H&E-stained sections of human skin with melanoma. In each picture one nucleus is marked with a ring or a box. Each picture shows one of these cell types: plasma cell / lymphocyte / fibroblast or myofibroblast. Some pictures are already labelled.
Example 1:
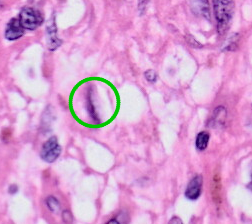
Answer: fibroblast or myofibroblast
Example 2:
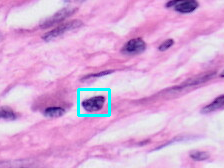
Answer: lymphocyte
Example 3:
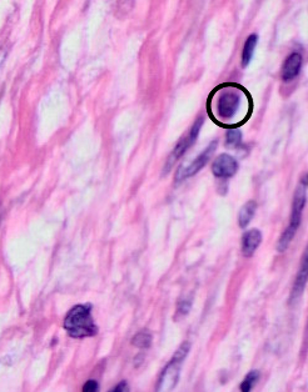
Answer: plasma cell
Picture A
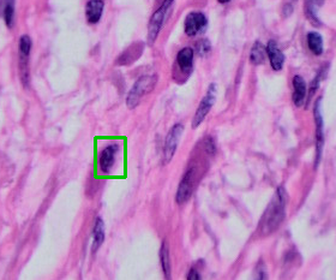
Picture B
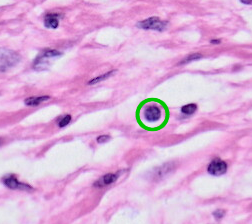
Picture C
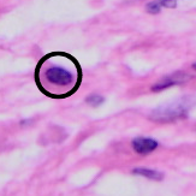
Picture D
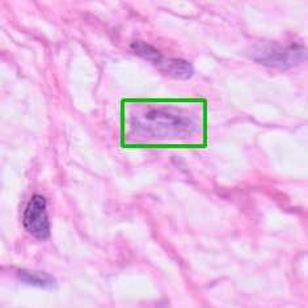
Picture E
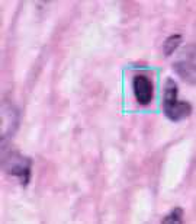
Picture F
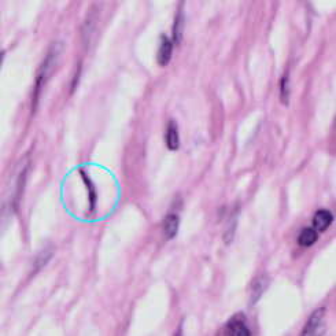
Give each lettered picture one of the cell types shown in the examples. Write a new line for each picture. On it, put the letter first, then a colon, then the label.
A: plasma cell
B: lymphocyte
C: plasma cell
D: fibroblast or myofibroblast
E: plasma cell
F: fibroblast or myofibroblast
